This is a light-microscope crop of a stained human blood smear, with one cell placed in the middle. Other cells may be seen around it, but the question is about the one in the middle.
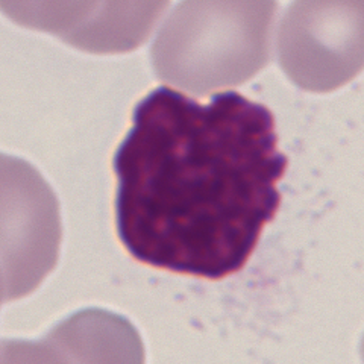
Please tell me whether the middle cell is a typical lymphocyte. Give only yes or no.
no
